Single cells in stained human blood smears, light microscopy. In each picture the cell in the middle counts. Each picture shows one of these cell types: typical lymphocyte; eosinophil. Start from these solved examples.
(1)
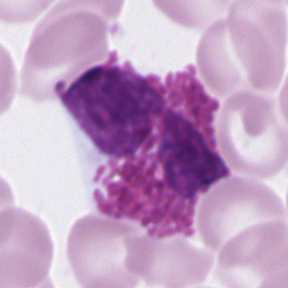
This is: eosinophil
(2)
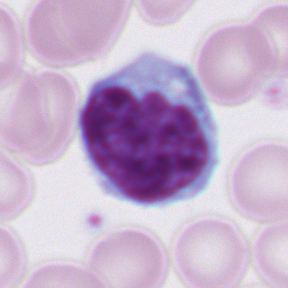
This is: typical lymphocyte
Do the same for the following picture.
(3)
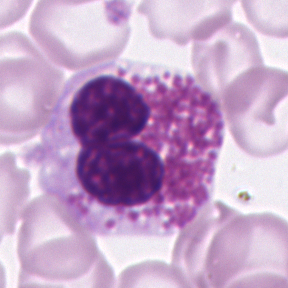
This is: eosinophil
